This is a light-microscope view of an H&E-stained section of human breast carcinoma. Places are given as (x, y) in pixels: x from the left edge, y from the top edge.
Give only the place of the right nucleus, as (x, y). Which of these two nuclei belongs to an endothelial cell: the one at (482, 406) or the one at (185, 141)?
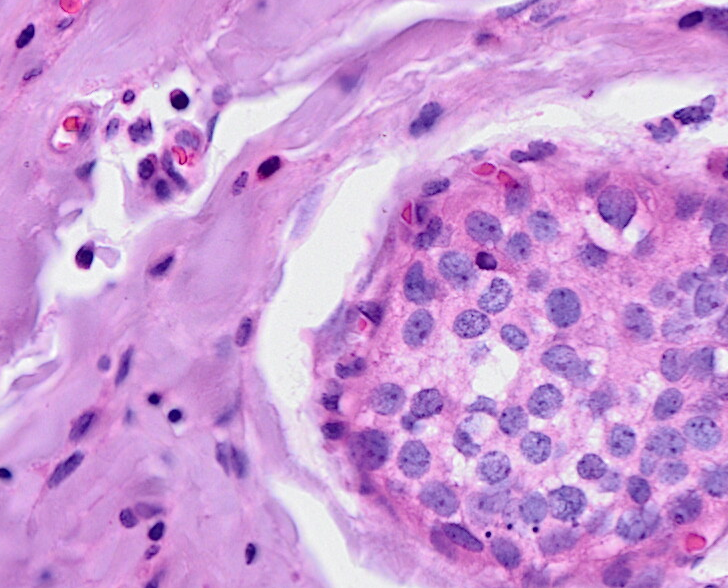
(185, 141)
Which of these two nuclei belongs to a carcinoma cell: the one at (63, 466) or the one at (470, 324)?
(470, 324)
